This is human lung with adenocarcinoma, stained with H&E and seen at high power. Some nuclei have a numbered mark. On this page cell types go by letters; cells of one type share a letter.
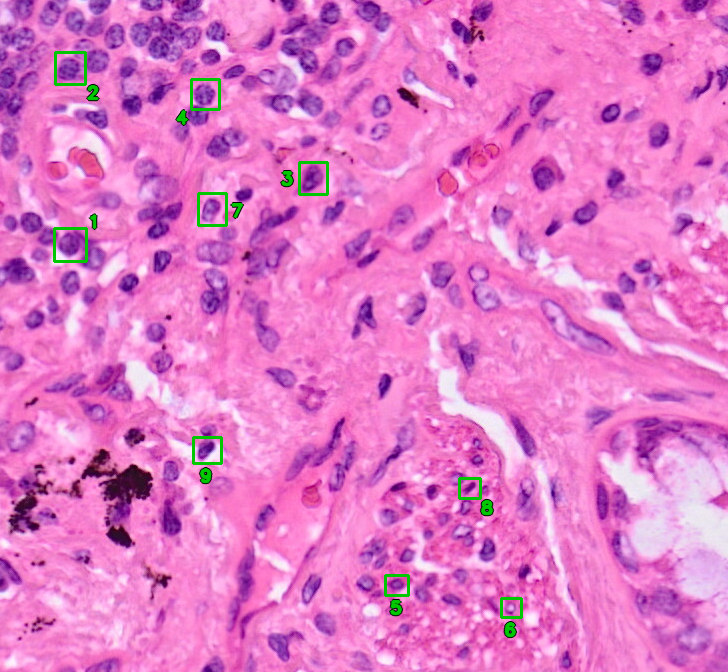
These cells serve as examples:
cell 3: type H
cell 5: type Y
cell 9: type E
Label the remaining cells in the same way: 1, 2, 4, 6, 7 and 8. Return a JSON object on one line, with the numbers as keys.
{"1": "type E", "2": "type E", "4": "type E", "6": "type Y", "7": "type E", "8": "type Y"}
